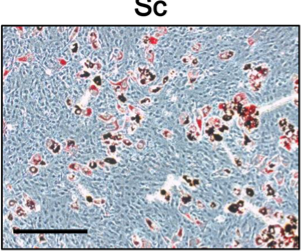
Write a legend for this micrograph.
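A confluent culture of mesenchymal cells in which many cells have become adipocytes laden with red-staining droplets. The background is a dense layer of flat, elongated, spindle-shaped cells that take up no red stain. Scattered across it lie numerous rounded cells whose cytoplasm is packed with red to dark droplets, singly and in small clusters.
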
